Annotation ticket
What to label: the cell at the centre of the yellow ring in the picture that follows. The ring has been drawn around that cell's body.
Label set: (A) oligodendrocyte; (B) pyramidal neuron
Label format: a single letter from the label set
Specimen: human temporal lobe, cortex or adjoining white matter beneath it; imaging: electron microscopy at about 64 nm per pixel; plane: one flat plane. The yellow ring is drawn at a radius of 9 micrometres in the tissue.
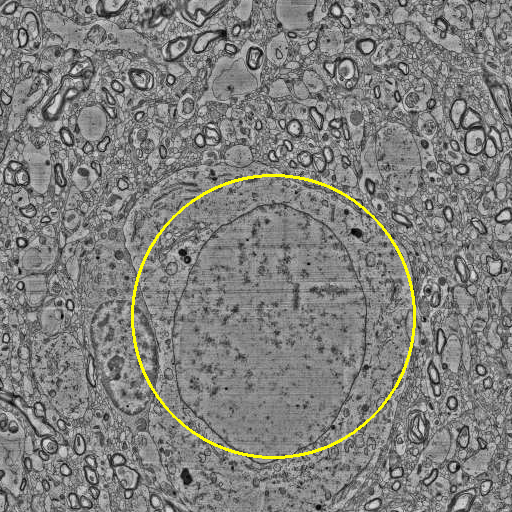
B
